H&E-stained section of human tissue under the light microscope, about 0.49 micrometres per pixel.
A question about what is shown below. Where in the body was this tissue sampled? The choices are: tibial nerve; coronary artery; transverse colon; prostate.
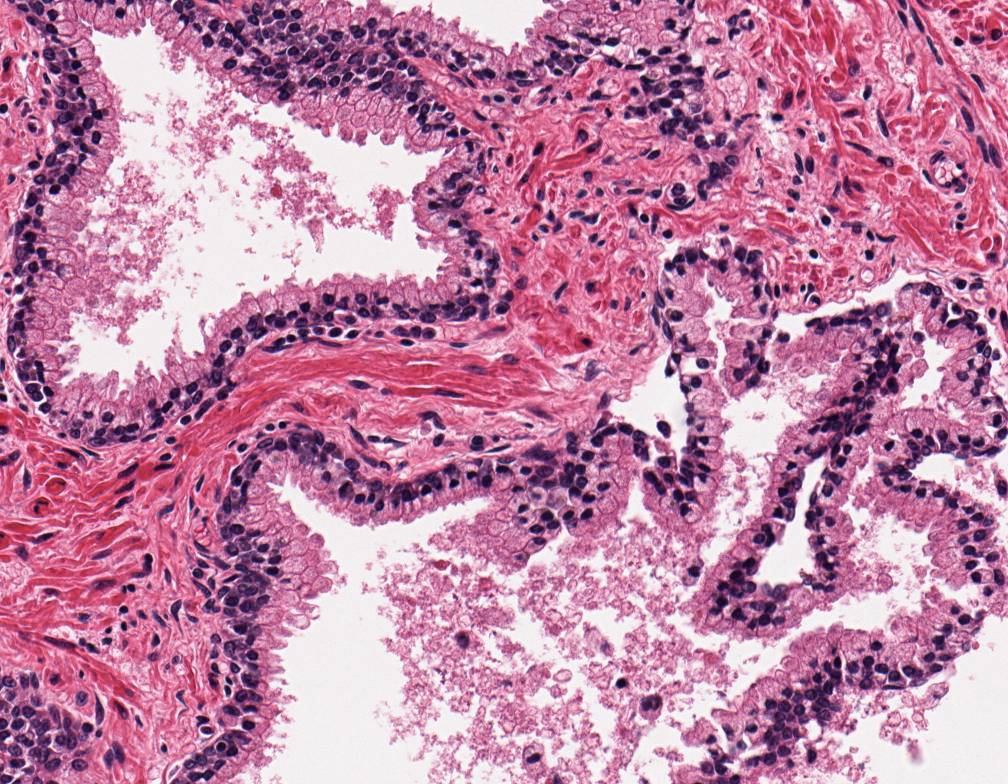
prostate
